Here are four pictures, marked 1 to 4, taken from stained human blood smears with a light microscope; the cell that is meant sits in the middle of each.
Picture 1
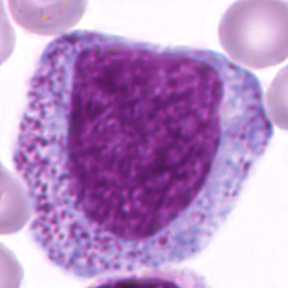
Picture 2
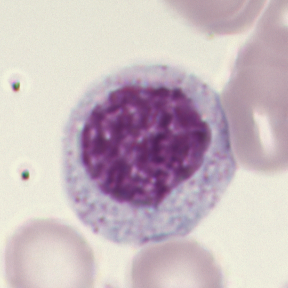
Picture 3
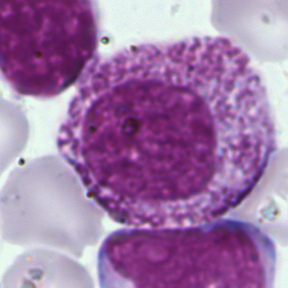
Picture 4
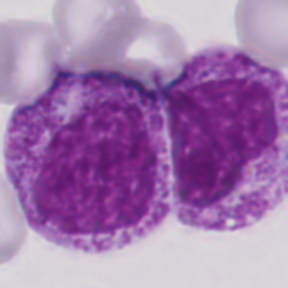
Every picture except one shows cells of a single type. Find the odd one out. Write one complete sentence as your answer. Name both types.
Picture 1 is the odd one out: it shows a promyelocyte, while the others show myelocytes.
